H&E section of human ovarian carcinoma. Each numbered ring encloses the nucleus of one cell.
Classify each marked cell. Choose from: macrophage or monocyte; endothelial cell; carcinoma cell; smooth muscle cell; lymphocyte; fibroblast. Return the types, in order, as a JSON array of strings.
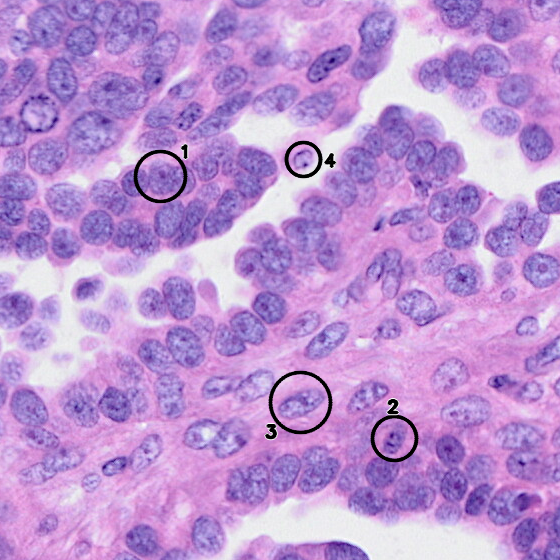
["carcinoma cell", "macrophage or monocyte", "fibroblast", "macrophage or monocyte"]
